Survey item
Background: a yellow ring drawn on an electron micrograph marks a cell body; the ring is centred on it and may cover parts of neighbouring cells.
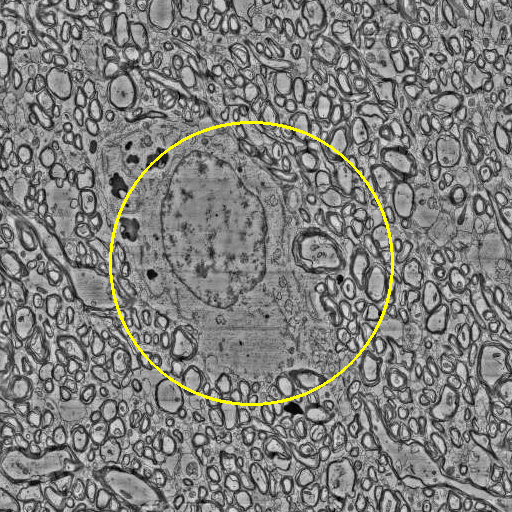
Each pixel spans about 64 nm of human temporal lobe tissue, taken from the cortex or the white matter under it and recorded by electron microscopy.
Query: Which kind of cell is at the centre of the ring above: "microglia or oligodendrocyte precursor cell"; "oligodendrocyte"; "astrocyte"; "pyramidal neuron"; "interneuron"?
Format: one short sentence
The cell in the middle of the ring is an oligodendrocyte.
